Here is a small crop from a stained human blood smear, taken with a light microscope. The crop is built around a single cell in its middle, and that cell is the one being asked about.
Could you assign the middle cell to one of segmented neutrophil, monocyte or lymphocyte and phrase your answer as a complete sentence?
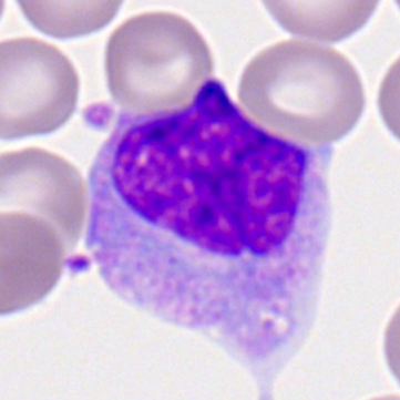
The cell in the middle of the field of view is a monocyte.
